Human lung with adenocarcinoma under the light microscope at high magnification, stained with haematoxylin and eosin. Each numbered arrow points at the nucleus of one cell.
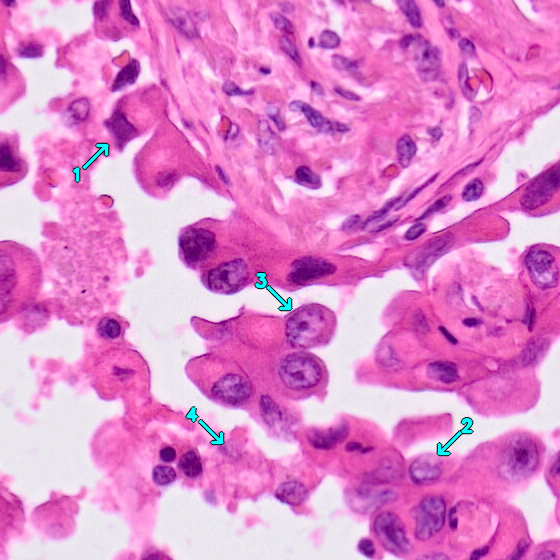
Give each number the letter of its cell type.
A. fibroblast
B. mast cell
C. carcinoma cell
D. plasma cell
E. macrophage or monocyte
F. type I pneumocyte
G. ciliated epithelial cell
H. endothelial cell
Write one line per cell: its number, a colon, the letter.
1: C
2: C
3: C
4: E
